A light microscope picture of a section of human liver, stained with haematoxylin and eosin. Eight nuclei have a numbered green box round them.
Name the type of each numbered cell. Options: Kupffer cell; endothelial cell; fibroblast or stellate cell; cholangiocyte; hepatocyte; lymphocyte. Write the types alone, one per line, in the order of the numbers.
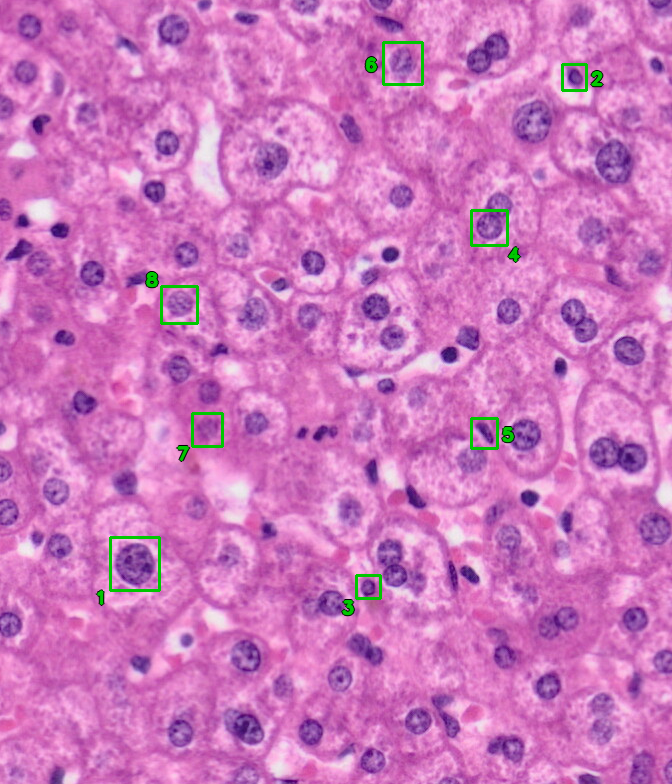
hepatocyte
Kupffer cell
Kupffer cell
hepatocyte
endothelial cell
hepatocyte
hepatocyte
hepatocyte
